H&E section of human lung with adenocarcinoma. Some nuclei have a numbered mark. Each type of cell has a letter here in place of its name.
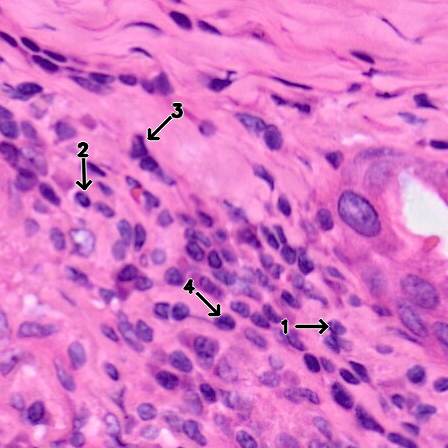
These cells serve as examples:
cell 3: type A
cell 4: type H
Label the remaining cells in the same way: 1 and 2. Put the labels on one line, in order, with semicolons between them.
type H; type H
